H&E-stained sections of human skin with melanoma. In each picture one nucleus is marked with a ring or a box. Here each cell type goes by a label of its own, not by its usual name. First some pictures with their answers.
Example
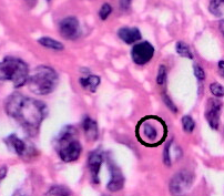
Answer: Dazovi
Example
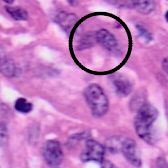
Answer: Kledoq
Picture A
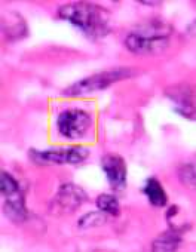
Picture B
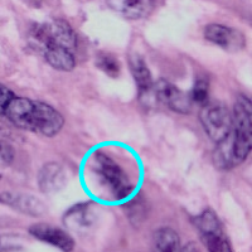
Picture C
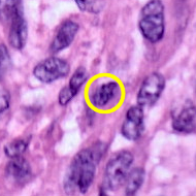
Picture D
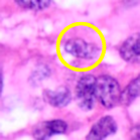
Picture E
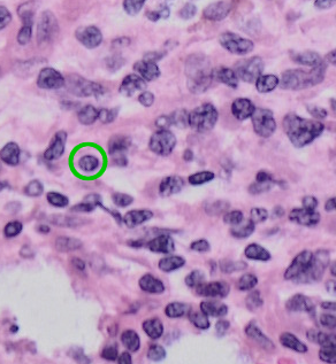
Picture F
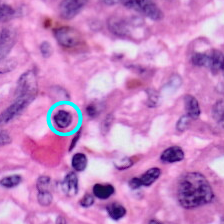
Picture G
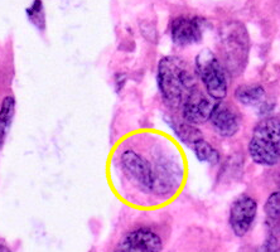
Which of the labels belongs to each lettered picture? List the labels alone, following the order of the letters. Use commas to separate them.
Dazovi, Kledoq, Kledoq, Kledoq, Dazovi, Dazovi, Kledoq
